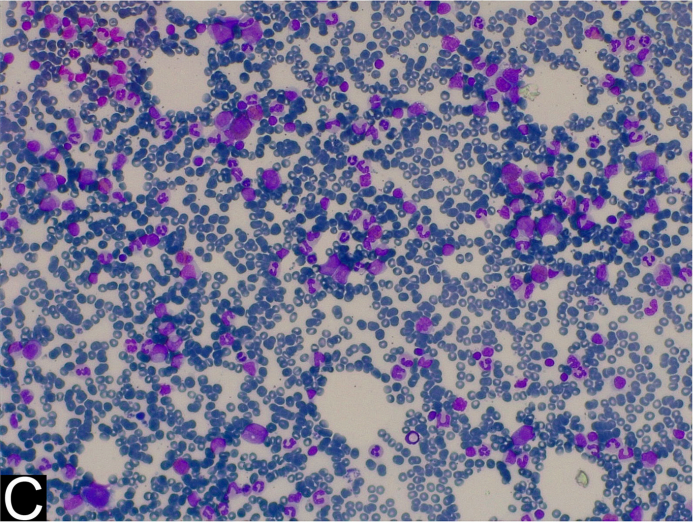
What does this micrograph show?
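This is a bone marrow smear at low power. The background is crowded with small, round, bluish-grey red cells with no nuclei. Scattered among them are nucleated cells with purple-staining nuclei: many are granulocytic cells with segmented or band-shaped nuclei, and some are larger cells with more cytoplasm.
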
